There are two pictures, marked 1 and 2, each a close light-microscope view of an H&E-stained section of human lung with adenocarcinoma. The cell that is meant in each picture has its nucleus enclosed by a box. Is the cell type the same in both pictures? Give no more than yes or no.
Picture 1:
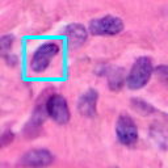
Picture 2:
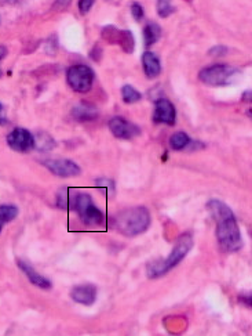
no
